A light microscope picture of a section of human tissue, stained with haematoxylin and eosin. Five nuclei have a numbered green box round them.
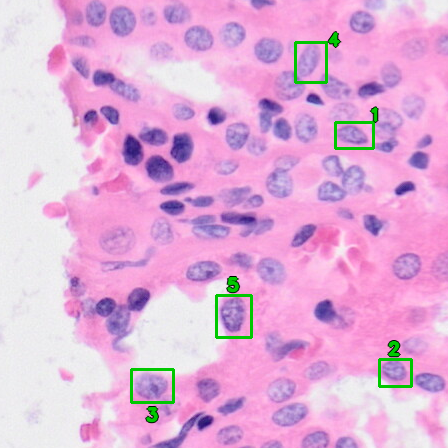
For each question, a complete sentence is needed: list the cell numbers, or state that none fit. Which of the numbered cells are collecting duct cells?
The cells with the number labels 1 and 4 are collecting duct cells.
